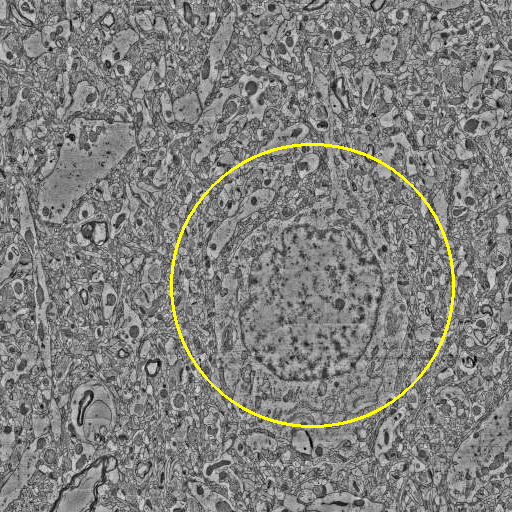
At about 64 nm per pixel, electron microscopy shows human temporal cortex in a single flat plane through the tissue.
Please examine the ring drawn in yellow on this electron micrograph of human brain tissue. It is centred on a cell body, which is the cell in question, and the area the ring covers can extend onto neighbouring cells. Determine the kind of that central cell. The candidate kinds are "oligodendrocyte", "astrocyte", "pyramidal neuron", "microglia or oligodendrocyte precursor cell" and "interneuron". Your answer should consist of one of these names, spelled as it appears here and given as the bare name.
interneuron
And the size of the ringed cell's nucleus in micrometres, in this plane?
Approximately 10 micrometers across in this plane.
